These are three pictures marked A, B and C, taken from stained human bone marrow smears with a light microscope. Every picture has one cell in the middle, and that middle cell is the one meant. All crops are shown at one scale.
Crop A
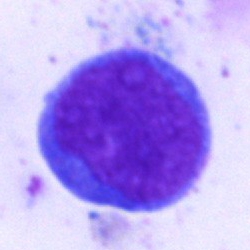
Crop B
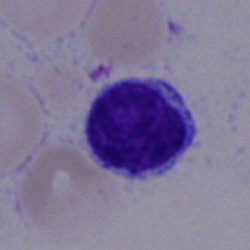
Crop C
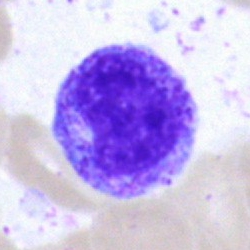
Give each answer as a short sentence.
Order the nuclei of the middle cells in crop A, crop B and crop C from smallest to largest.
Going up, they run B, C, A.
